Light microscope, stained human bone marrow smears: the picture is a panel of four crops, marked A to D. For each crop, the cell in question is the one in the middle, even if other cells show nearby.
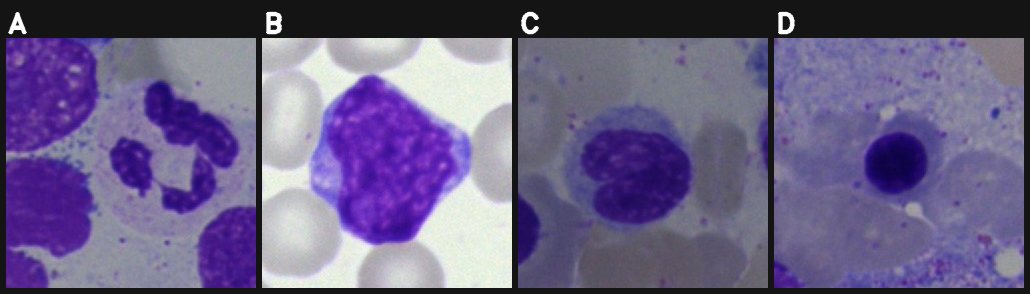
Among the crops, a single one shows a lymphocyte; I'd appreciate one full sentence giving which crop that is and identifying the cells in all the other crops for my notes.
The cell occupying crop C is a lymphocyte, whereas crop A is a segmented neutrophil, crop B is a blast and crop D is an erythroblast.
